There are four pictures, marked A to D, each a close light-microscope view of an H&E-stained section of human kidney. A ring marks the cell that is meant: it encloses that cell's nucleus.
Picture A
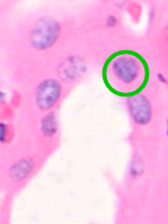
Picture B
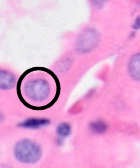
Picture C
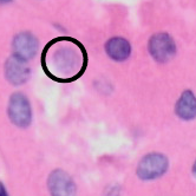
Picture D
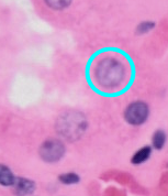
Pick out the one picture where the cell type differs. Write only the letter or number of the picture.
D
